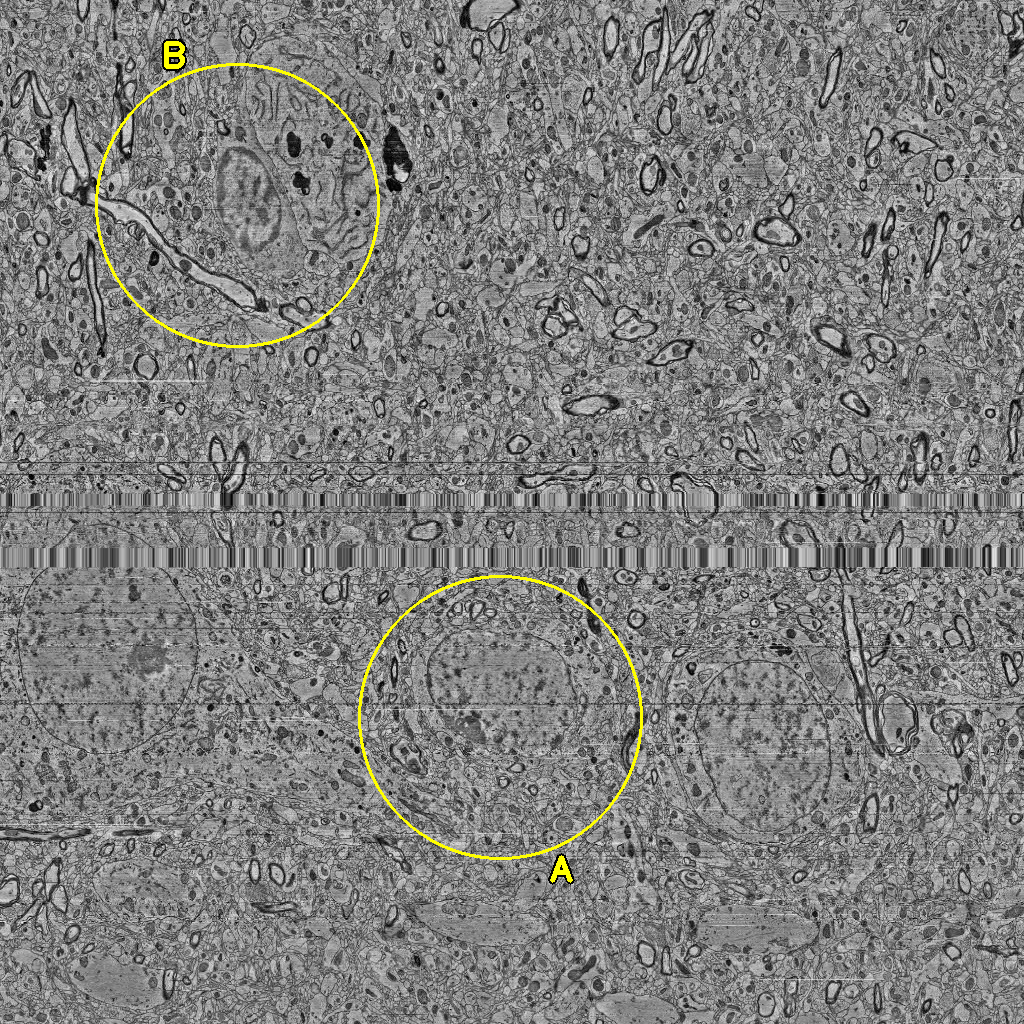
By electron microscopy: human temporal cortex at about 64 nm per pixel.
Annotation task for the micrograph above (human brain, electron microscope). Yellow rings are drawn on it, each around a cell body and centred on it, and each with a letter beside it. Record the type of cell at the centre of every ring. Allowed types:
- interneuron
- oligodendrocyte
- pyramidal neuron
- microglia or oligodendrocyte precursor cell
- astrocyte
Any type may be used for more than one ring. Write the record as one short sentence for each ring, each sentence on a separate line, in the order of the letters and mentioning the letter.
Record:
The cell centred in ring A is an interneuron.
The cell centred in ring B is an oligodendrocyte.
